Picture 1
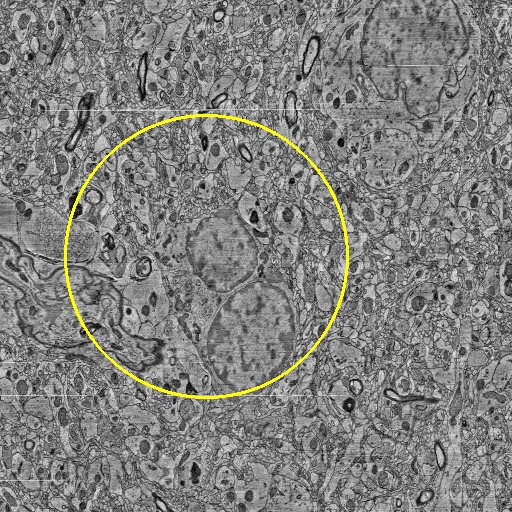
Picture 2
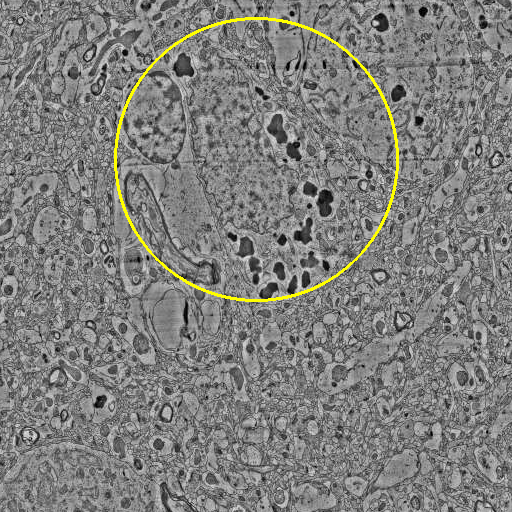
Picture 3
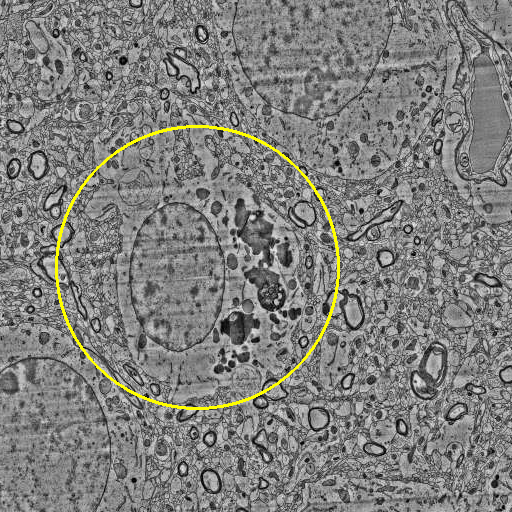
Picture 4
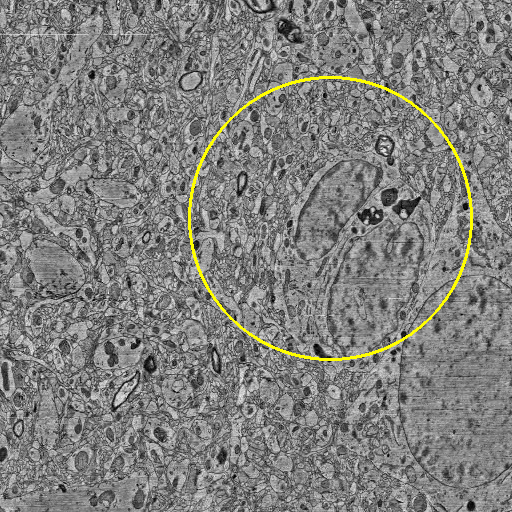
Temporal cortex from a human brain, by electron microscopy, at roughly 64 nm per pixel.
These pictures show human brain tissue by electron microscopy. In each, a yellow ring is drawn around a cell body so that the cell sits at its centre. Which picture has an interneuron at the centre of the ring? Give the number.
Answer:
2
